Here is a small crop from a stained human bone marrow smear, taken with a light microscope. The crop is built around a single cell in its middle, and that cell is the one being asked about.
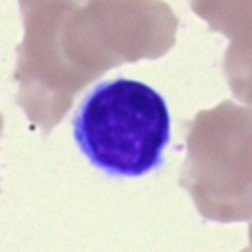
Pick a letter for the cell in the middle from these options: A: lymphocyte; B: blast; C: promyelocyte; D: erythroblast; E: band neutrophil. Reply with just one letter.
A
